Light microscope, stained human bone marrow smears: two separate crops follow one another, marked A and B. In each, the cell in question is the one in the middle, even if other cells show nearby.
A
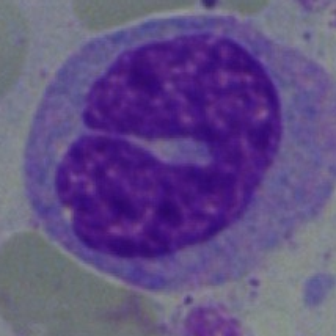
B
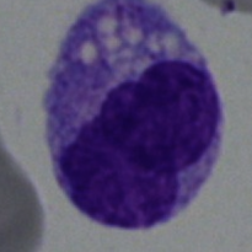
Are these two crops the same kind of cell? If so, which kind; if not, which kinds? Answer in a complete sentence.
Yes, monocytes are the central cells in the two crops.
